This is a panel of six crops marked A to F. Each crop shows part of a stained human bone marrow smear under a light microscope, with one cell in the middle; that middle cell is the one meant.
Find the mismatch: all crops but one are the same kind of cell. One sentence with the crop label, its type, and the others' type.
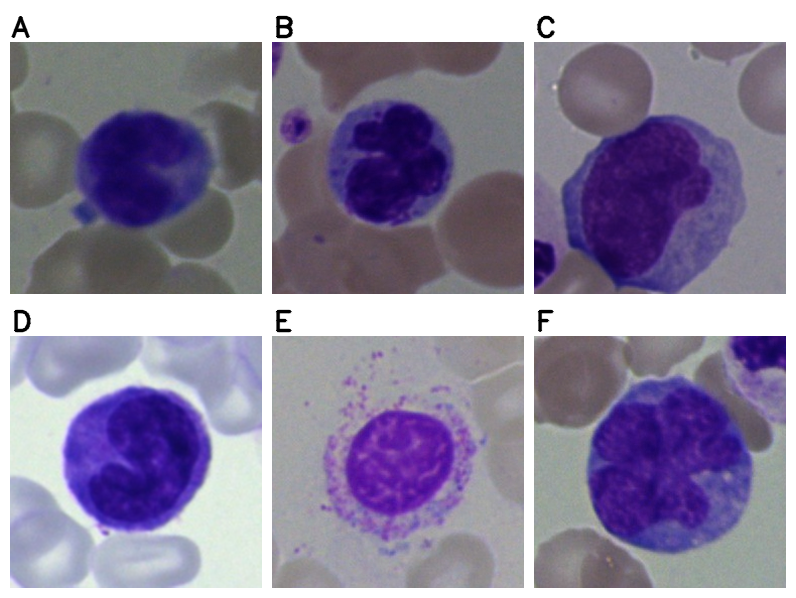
The crop that differs is crop E, showing a myelocyte; the others show monocytes.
